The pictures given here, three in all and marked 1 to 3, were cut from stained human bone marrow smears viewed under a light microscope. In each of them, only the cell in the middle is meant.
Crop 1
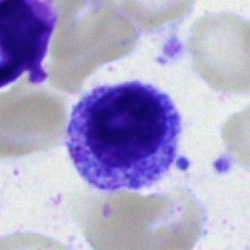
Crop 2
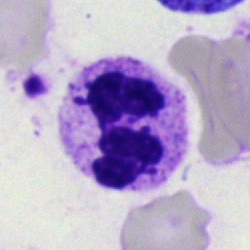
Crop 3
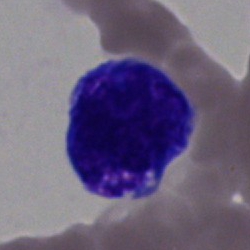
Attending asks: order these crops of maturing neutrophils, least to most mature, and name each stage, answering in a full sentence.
Taken from least mature to most mature, the crops are crop 3 (a promyelocyte), crop 1 (a myelocyte) and crop 2 (a segmented neutrophil).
